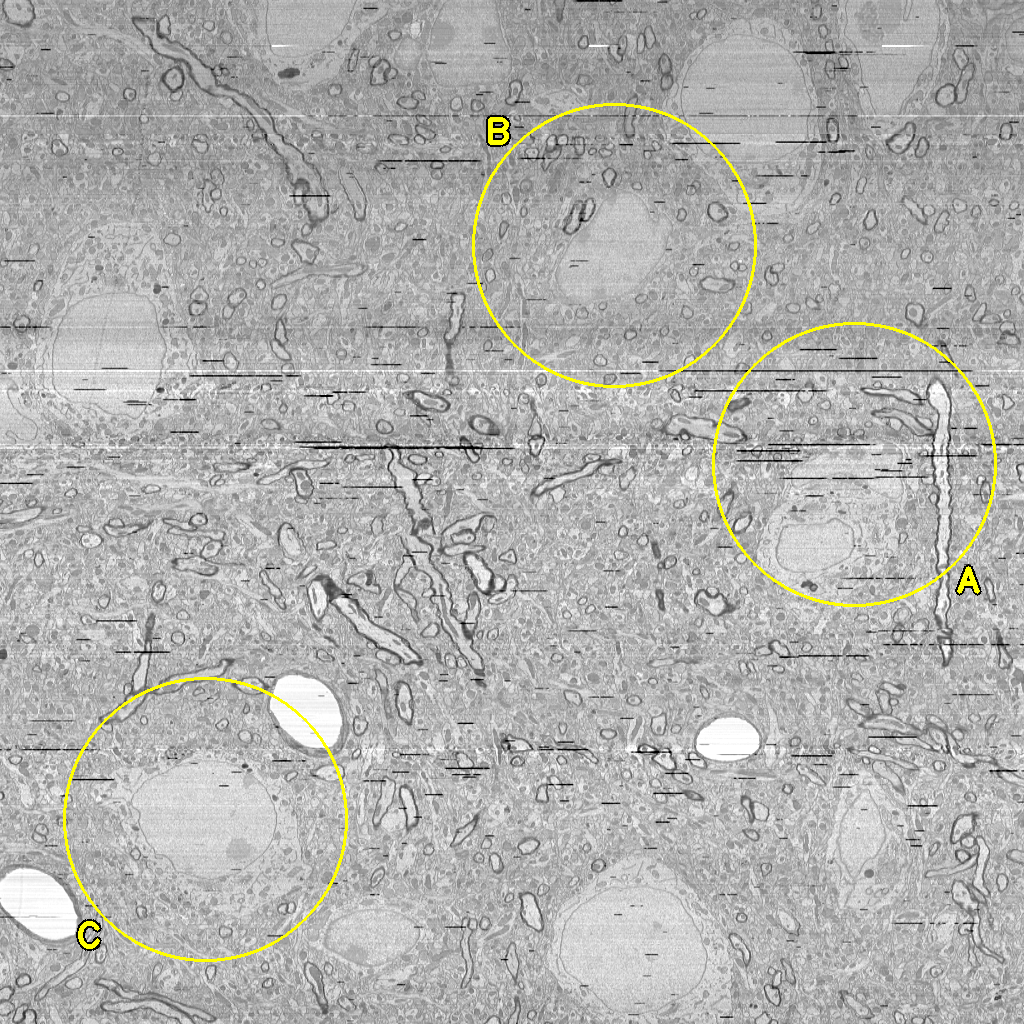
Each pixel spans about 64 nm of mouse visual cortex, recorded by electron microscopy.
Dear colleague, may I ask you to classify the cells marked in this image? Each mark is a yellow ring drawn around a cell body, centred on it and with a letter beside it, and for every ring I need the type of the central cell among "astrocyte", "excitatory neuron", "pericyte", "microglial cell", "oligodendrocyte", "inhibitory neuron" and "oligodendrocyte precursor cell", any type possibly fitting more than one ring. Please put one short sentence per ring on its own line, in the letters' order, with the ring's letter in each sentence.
Ring A contains an oligodendrocyte precursor cell at its centre.
Ring B contains an astrocyte at its centre.
Ring C contains an excitatory neuron at its centre.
